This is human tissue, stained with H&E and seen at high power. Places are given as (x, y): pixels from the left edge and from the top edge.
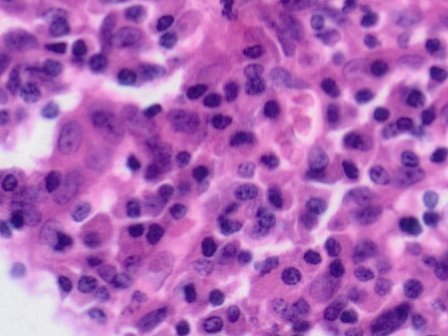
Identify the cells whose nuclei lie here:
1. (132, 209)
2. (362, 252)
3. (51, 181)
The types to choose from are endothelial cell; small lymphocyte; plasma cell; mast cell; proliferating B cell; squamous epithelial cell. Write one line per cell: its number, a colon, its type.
1: plasma cell
2: squamous epithelial cell
3: squamous epithelial cell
